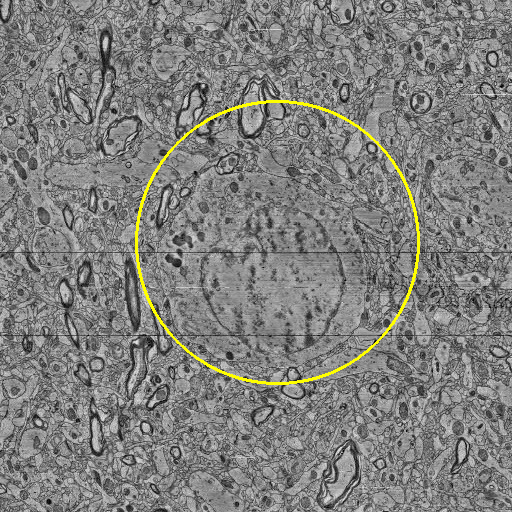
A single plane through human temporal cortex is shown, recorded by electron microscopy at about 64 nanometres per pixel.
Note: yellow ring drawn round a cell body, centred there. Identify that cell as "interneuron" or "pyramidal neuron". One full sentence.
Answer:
The cell in the middle of the ring is an interneuron.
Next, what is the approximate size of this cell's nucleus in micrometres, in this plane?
In this plane the nucleus measures roughly 10 micrometres across.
